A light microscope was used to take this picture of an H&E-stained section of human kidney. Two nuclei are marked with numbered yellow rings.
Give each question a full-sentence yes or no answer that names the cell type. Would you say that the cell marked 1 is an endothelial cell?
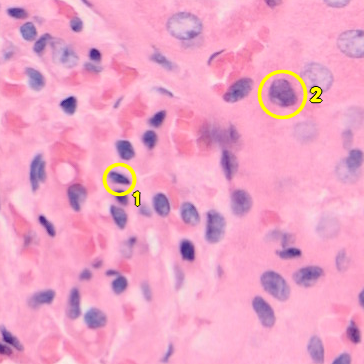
Yes, the cell distinguished by number 1 is an endothelial cell.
